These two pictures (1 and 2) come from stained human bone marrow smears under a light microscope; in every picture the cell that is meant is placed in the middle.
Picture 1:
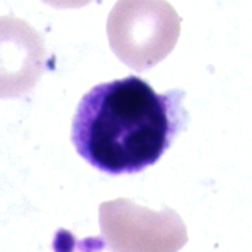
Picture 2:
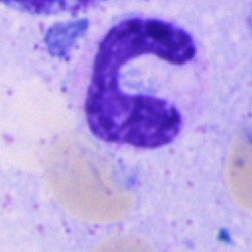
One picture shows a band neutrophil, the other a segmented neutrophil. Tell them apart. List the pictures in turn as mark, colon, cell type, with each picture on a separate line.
1: segmented neutrophil
2: band neutrophil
